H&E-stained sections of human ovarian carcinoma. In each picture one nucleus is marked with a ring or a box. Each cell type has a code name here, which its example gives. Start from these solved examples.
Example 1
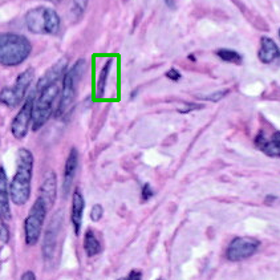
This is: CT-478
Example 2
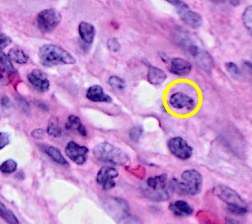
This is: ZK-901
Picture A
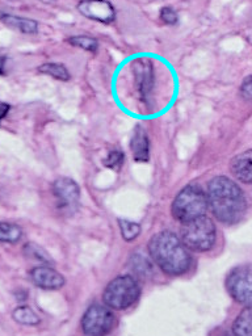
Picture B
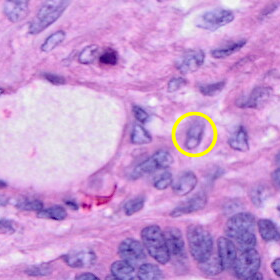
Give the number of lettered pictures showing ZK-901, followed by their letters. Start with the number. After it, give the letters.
0, none of them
